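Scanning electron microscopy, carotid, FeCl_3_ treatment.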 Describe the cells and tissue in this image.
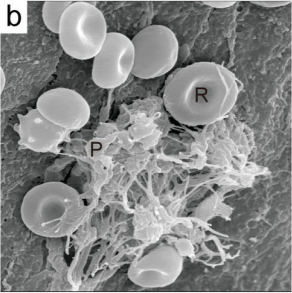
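Here we look down on the inner surface of an artery wall, with blood cells resting on it. The smooth, biconcave discs are red blood cells, each with a central dimple, scattered around the field. In the middle lies a cluster of platelets, much smaller cells that have lost their smooth disc form: they send out many long, thin, thread-like projections that tangle together into an aggregate, and this clump is stuck to the surface beneath. The underlying lining looks rough and uneven rather than smooth. Compare the tidy red cells with the spiky, clumped platelets between them.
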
